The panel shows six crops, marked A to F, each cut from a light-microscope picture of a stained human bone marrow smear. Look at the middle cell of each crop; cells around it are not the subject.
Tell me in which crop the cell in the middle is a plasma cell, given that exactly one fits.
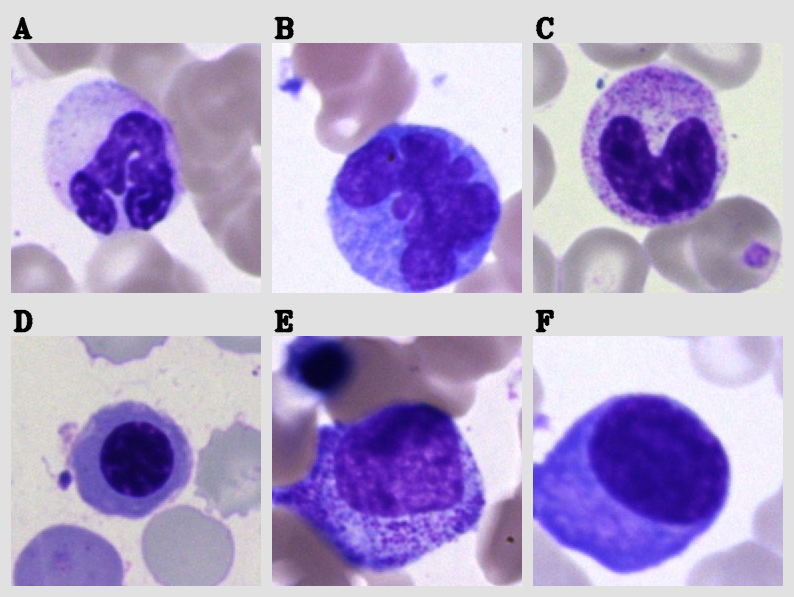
F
